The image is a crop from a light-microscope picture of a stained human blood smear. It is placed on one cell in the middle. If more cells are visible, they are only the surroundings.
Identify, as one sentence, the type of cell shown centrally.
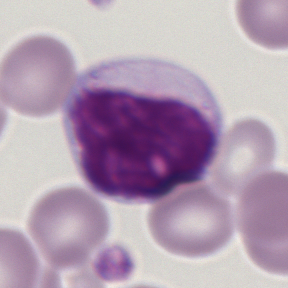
Within this crop, a large granular lymphocyte occupies the central position.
